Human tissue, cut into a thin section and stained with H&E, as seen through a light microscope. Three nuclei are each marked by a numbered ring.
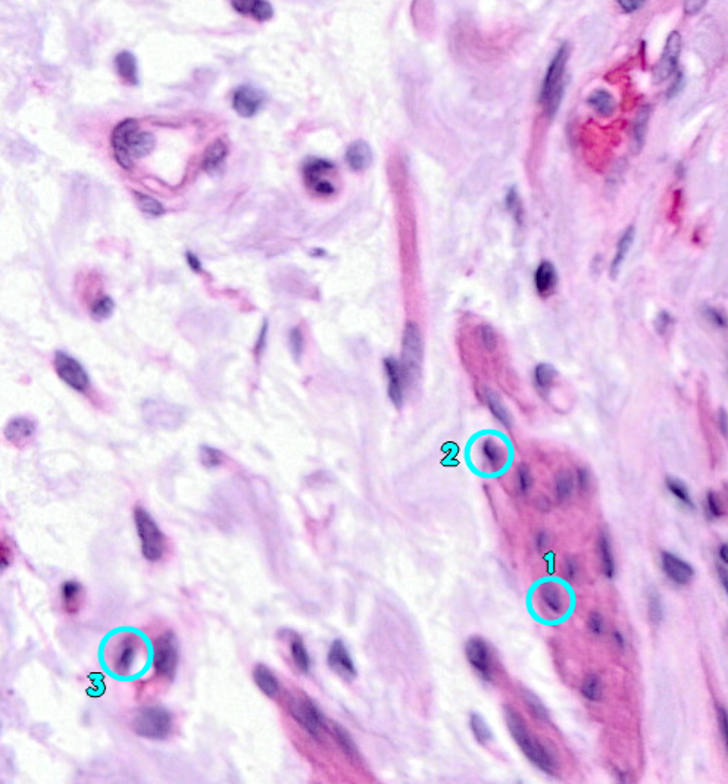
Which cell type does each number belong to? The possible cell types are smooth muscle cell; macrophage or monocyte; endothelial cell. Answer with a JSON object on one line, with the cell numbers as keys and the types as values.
{"1": "smooth muscle cell", "2": "smooth muscle cell", "3": "endothelial cell"}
